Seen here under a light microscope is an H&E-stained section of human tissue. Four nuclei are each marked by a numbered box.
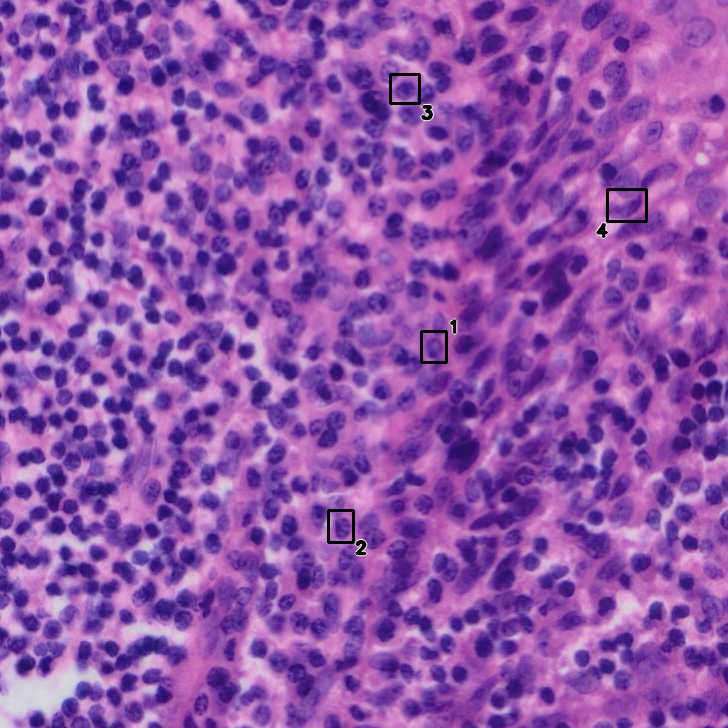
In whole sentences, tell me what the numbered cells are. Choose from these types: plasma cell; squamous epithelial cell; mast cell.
Cells 1, 2 and 3 are plasma cells. Cell 4 is a squamous epithelial cell.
